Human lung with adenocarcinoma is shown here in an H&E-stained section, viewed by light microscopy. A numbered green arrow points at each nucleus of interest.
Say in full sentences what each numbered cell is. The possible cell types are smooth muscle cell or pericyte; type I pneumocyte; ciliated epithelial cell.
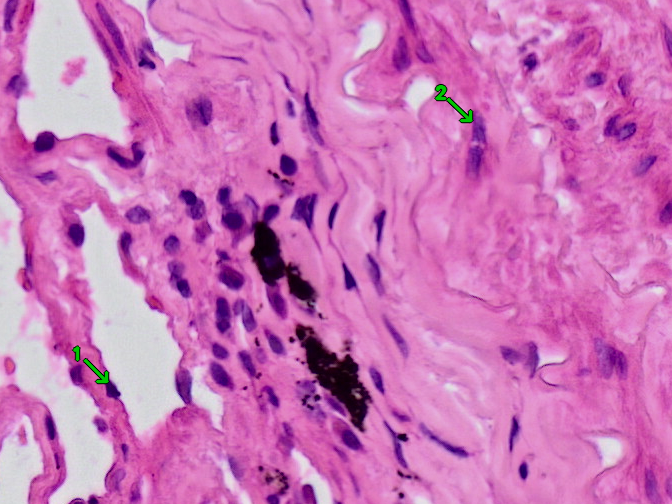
Cell 1 is a type I pneumocyte. Cell 2 is a smooth muscle cell or pericyte.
